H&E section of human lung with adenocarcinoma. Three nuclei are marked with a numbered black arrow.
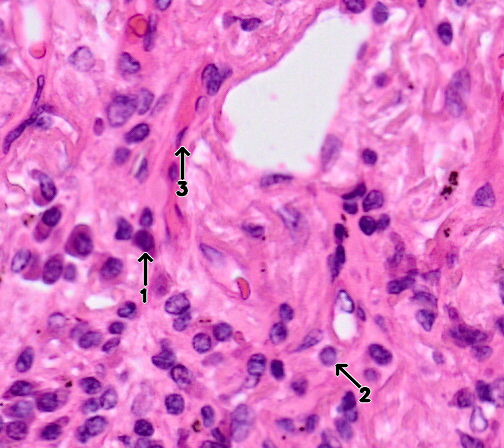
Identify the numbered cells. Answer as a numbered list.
1. plasma cell
2. lymphocyte
3. endothelial cell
